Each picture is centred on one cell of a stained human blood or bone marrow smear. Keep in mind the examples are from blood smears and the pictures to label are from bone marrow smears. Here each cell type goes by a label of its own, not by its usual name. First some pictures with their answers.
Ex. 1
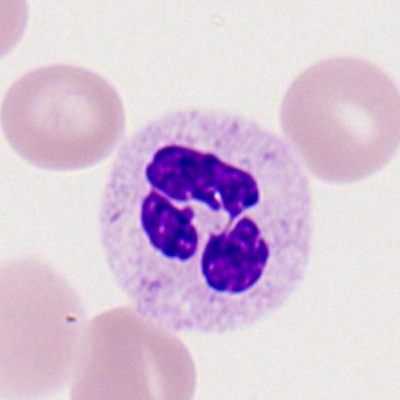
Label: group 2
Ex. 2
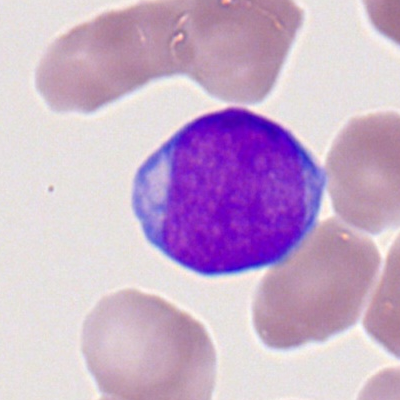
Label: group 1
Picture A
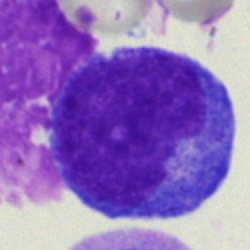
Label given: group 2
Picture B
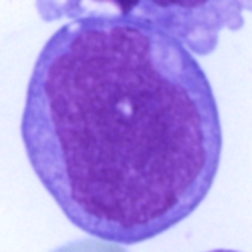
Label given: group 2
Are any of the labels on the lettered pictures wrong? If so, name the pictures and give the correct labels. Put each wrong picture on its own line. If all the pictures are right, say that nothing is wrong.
A is labelled group 2; correct label: group 1
B is labelled group 2; correct label: group 1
